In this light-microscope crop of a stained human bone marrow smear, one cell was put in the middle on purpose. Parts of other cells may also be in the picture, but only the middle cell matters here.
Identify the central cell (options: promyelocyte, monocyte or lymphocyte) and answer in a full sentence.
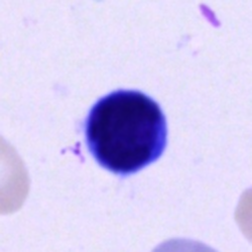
Whatever else lies nearby, the middle cell is a lymphocyte.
